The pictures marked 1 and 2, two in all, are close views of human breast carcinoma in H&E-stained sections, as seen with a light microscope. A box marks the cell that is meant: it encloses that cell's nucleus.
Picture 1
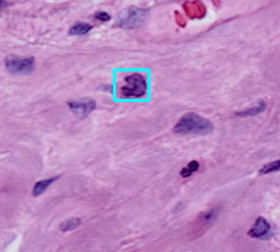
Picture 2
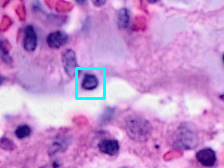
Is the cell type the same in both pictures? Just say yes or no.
no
